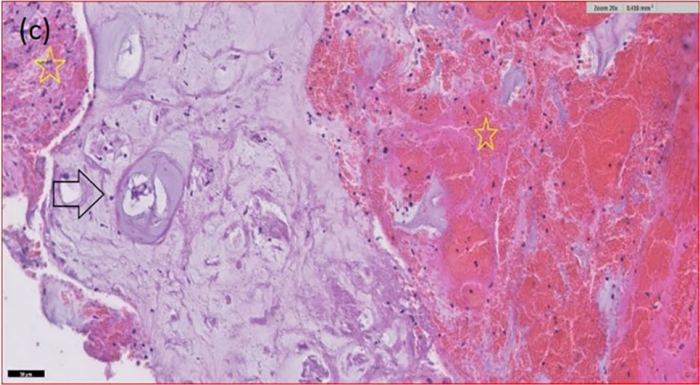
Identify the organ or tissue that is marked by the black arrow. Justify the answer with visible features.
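The arrow points to a round lacuna with a thick pale-purple rim inside pale, glassy matrix. The marked area stains pale lilac, unlike the bright red material beside it. Few cells are scattered in the pale matrix. The answer: degenerate cartilaginous tissue.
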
